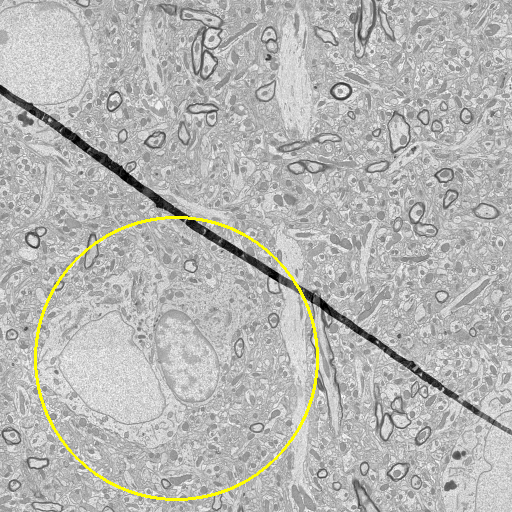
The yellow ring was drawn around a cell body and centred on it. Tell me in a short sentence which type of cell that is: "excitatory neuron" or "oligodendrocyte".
The cell at the ring's centre is an oligodendrocyte.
